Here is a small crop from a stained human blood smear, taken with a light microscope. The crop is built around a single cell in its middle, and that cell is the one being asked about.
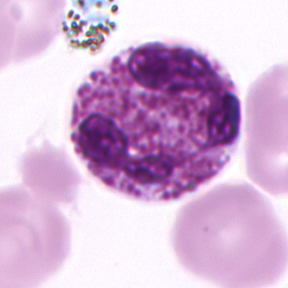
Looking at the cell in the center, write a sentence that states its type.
For this crop, the cell in the middle is an eosinophil.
